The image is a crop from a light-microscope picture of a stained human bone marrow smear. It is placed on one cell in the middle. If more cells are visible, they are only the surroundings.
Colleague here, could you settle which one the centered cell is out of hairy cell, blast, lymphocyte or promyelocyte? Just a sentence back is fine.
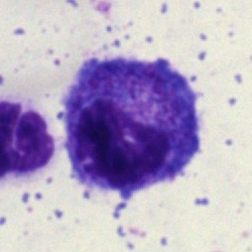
In the centre of this crop there is a promyelocyte.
